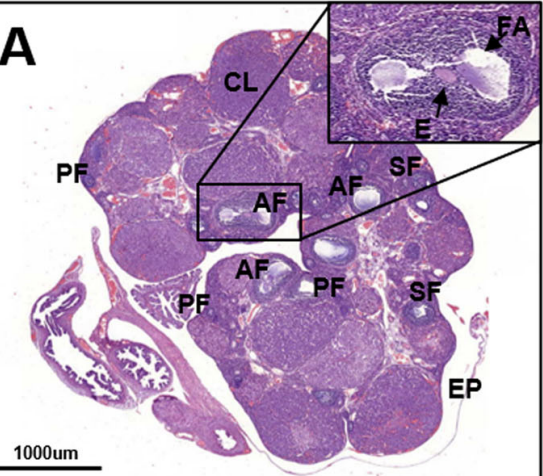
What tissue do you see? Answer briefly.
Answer: Ovary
